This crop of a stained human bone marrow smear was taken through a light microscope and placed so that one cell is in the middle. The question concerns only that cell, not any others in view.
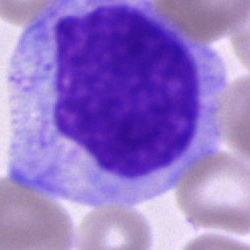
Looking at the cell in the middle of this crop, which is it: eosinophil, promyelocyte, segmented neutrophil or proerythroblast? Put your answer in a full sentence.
The central element of this crop is a cell, namely a promyelocyte.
